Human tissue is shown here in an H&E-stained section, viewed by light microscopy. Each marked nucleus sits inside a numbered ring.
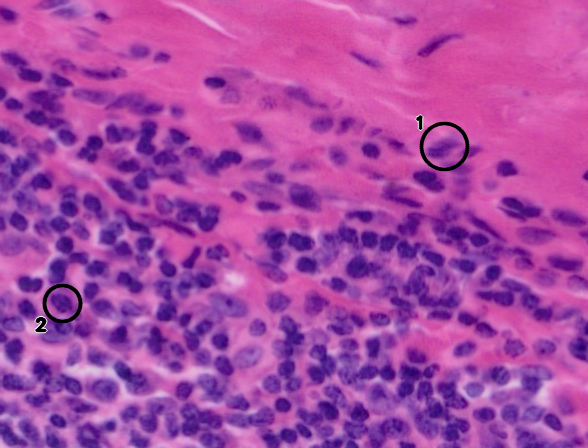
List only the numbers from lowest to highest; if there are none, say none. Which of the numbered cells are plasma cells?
2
